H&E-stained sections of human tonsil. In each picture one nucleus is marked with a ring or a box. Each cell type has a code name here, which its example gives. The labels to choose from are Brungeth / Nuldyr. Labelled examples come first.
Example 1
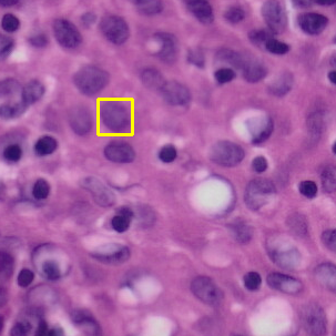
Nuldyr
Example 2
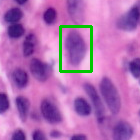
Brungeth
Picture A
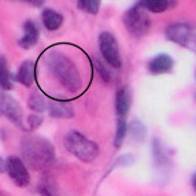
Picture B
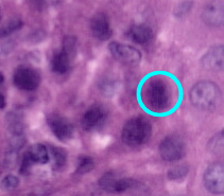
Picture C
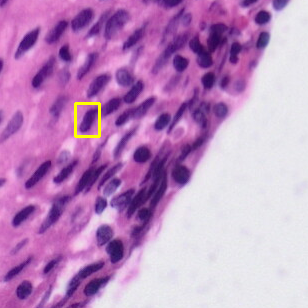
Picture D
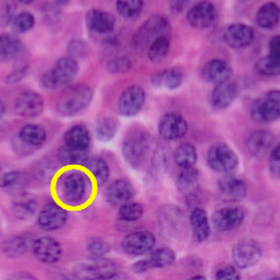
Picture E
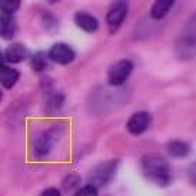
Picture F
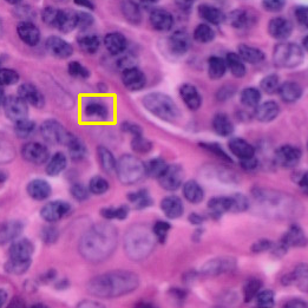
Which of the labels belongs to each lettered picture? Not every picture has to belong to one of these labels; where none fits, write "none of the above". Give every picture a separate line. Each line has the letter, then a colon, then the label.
A: Brungeth
B: Nuldyr
C: Nuldyr
D: none of the above
E: Brungeth
F: Brungeth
